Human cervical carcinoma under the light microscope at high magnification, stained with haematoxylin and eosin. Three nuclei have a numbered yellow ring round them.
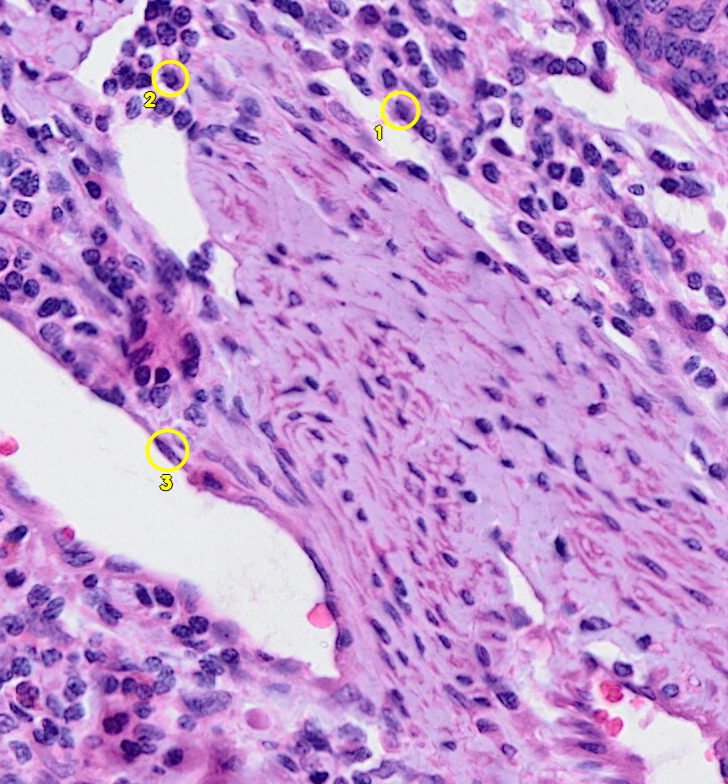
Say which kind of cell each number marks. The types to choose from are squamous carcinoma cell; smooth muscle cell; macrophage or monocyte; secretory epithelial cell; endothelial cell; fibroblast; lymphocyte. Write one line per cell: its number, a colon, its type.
1: lymphocyte
2: lymphocyte
3: endothelial cell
